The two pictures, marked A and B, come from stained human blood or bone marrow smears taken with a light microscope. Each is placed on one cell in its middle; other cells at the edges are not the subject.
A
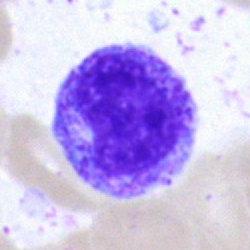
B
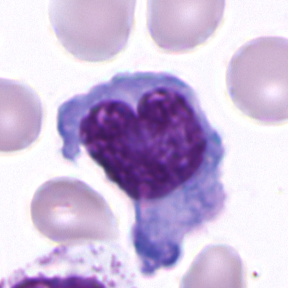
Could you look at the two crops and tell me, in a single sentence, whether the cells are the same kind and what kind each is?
No, crop A shows a myelocyte, and it is crop B that shows a plasma cell.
